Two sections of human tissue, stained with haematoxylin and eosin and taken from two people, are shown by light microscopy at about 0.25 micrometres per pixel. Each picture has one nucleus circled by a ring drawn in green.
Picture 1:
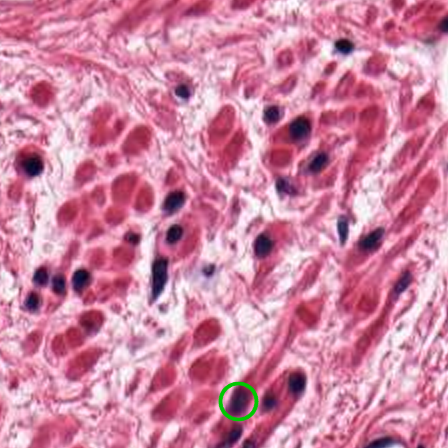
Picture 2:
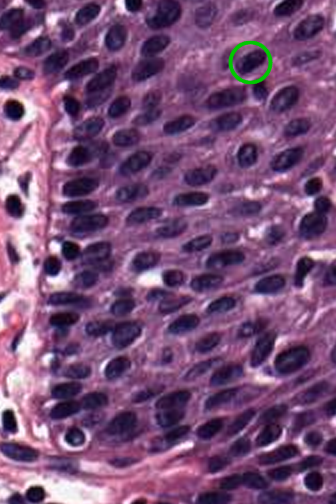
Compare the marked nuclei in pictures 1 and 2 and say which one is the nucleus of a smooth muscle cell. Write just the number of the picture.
1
